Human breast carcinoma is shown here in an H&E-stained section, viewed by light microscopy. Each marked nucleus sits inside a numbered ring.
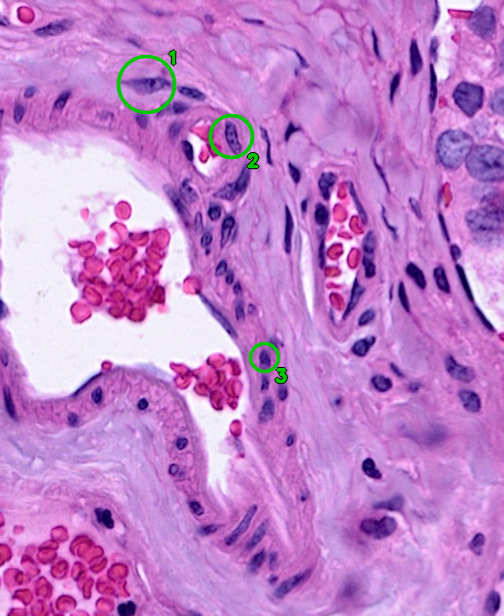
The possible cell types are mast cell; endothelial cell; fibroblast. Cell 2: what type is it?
endothelial cell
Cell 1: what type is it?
fibroblast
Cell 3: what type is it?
endothelial cell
